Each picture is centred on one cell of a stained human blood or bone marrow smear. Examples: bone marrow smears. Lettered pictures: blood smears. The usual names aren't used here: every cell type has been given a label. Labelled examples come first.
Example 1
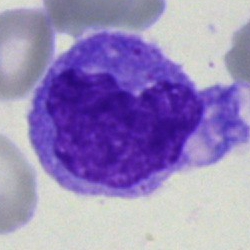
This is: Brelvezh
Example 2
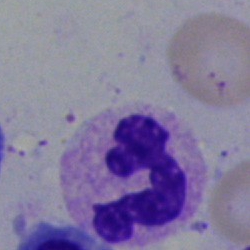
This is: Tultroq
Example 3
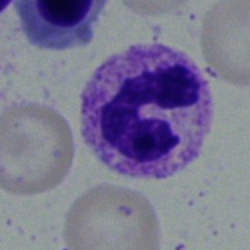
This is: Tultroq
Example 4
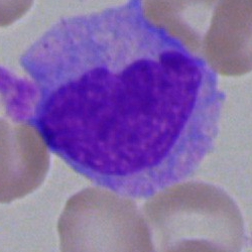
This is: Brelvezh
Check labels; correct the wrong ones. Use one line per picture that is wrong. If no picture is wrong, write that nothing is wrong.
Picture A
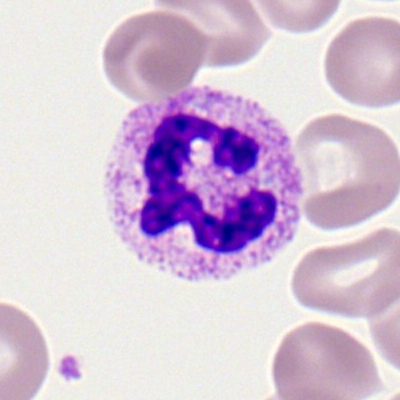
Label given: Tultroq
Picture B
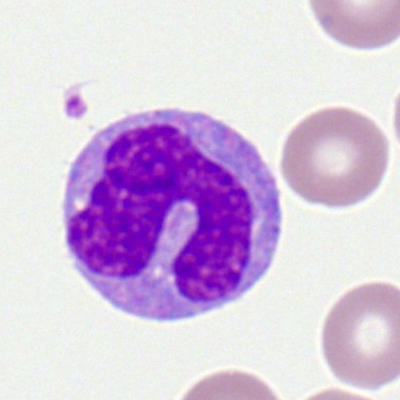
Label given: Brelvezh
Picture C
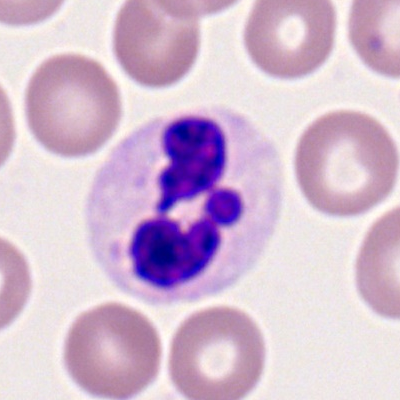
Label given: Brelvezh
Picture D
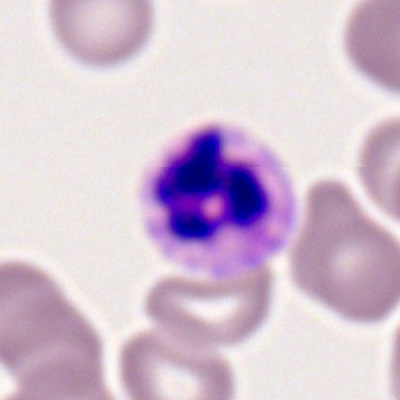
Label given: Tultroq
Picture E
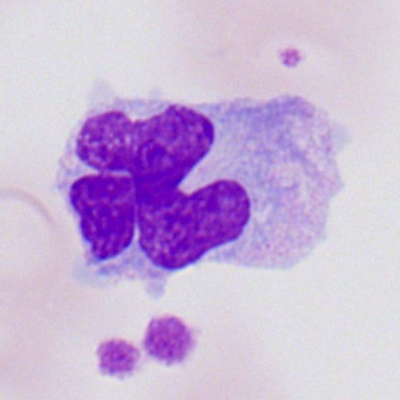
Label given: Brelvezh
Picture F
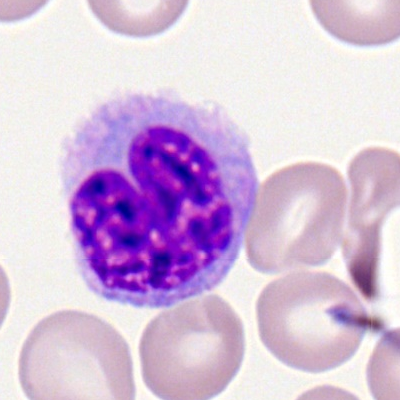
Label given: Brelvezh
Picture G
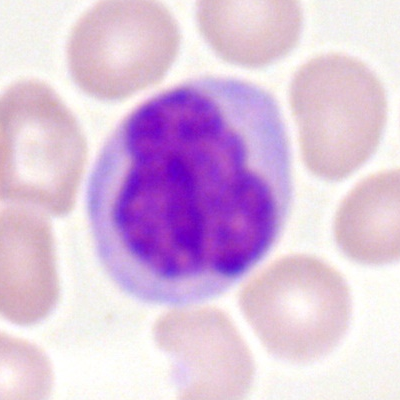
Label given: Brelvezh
C should be Tultroq, not Brelvezh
